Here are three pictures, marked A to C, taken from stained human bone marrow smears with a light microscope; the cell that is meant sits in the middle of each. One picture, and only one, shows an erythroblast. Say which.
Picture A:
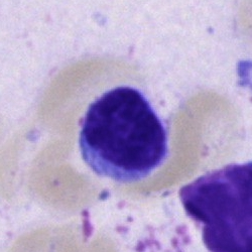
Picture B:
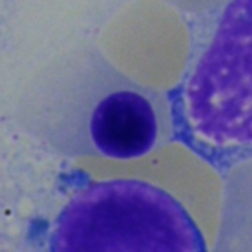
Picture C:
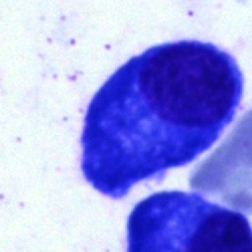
B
